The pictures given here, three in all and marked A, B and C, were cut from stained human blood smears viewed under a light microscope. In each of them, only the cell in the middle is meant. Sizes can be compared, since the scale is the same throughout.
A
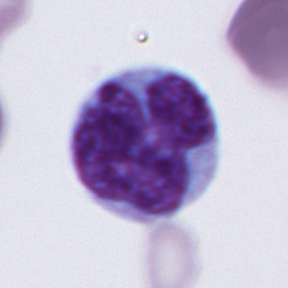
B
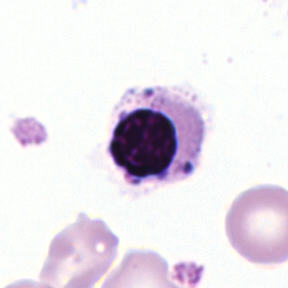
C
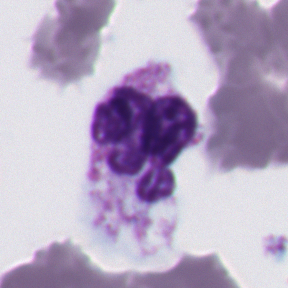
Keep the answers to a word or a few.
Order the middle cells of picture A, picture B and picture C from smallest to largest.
B, C, A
